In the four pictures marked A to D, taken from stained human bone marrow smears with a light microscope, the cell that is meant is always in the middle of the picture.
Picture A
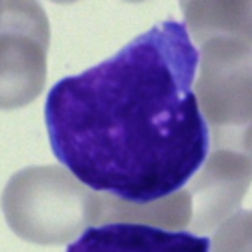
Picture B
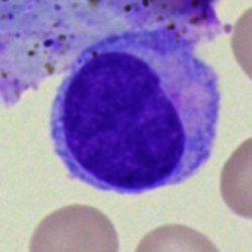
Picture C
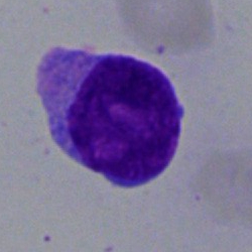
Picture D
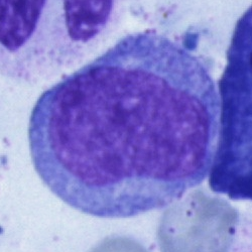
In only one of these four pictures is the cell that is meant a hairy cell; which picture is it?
B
